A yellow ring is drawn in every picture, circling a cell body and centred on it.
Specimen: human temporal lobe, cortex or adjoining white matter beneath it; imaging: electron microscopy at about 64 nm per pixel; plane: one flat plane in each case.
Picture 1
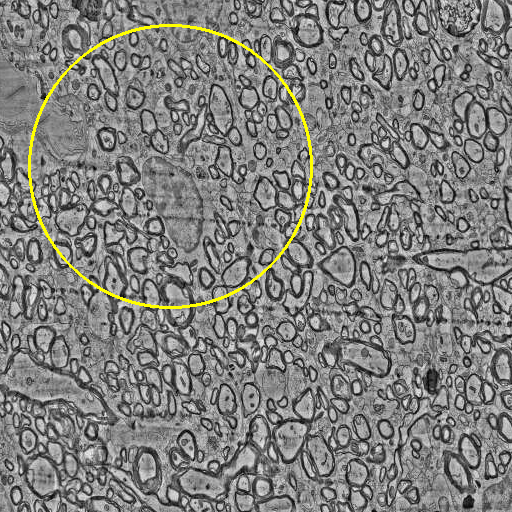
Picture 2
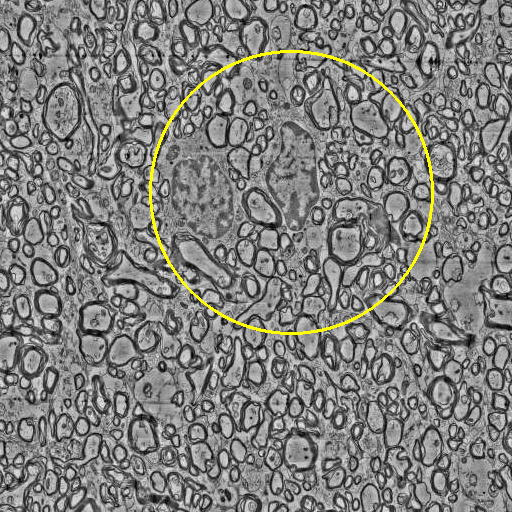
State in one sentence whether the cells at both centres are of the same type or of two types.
The cells at the two ring centres, one per picture, are of two types.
